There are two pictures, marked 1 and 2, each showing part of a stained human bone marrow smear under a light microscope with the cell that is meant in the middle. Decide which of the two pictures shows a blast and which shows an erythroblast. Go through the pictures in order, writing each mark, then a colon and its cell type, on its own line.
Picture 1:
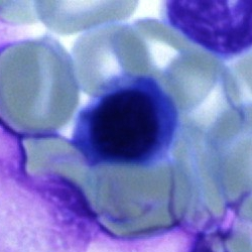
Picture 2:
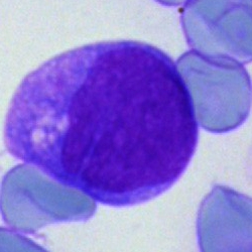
1: erythroblast
2: blast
